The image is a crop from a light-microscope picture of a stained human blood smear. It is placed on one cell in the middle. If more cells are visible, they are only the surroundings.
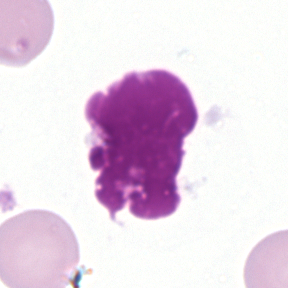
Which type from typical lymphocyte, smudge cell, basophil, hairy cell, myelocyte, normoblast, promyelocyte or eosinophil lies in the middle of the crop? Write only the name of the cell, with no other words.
smudge cell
